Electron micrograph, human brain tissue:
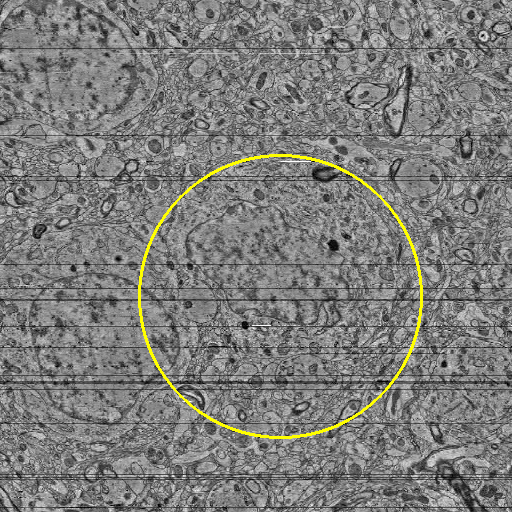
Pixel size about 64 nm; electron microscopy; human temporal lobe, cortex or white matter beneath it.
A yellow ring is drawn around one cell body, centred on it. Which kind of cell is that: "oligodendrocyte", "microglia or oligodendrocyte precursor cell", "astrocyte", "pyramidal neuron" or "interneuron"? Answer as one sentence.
It is an interneuron at the centre of the ring.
